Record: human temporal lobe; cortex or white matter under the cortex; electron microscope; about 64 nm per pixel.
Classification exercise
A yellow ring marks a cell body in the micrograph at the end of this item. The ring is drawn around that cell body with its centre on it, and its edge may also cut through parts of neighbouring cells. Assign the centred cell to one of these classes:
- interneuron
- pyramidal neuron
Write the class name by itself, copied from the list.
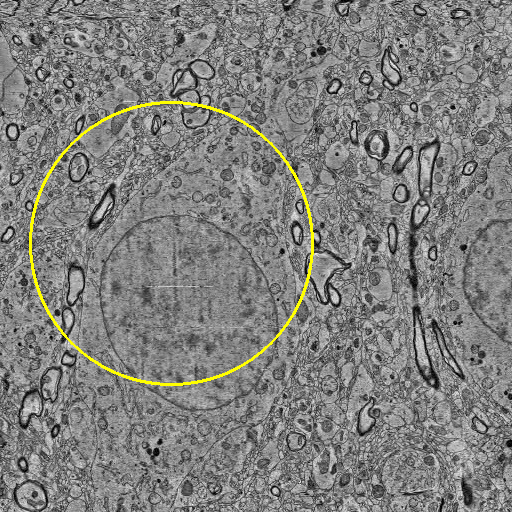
interneuron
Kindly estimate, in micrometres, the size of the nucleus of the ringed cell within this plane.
The ringed cell's nucleus measures approximately 13 by 11 micrometres in this plane.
